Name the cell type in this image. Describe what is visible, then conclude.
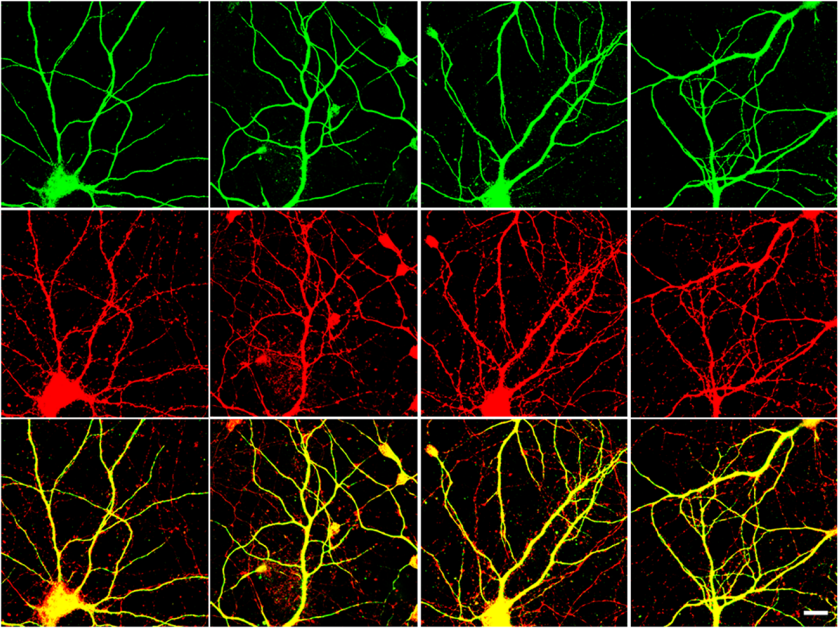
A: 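Pyramidal neurons. Cell bodies with several long, tapering, branching dendrites. Branched processes spread widely from each cell body in a network.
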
